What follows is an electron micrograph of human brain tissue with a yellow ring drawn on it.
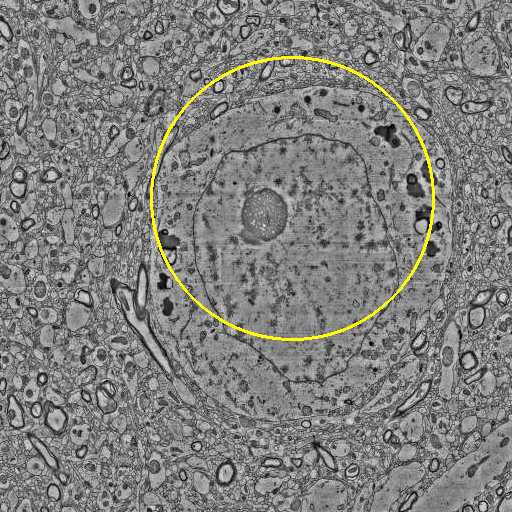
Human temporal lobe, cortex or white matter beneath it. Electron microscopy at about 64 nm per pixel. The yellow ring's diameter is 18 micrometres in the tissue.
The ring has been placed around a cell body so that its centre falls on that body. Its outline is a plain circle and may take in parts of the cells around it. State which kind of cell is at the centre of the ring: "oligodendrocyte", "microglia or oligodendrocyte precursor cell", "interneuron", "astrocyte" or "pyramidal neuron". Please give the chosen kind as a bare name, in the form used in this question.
pyramidal neuron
